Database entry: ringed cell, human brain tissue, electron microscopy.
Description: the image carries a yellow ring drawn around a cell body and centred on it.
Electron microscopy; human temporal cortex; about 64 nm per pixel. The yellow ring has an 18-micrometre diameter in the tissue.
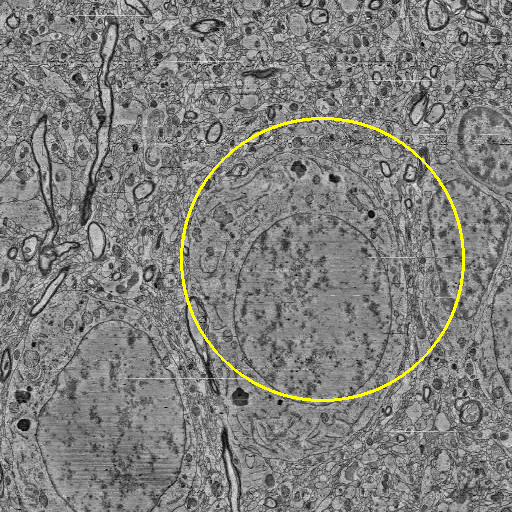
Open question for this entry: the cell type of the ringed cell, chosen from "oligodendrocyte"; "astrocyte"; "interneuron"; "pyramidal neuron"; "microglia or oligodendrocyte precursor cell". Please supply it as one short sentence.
The ringed cell is a pyramidal neuron.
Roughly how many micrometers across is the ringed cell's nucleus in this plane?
About 13 by 10 micrometers for the nucleus, in this plane.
